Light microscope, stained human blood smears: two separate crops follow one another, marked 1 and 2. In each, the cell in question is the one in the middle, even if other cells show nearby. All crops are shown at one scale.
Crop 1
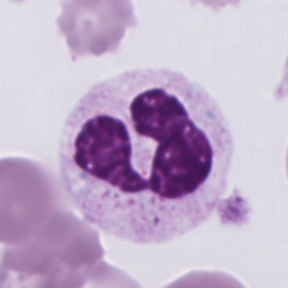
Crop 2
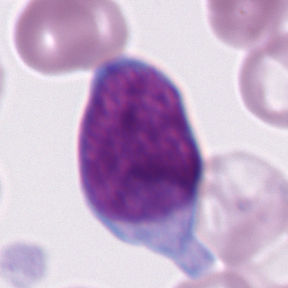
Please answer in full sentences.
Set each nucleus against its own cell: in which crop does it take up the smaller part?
In crop 1 the nucleus takes up the smaller part of its cell.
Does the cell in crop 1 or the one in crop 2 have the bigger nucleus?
Larger is the nucleus in crop 2, at roughly 1.5 times the area of the other.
